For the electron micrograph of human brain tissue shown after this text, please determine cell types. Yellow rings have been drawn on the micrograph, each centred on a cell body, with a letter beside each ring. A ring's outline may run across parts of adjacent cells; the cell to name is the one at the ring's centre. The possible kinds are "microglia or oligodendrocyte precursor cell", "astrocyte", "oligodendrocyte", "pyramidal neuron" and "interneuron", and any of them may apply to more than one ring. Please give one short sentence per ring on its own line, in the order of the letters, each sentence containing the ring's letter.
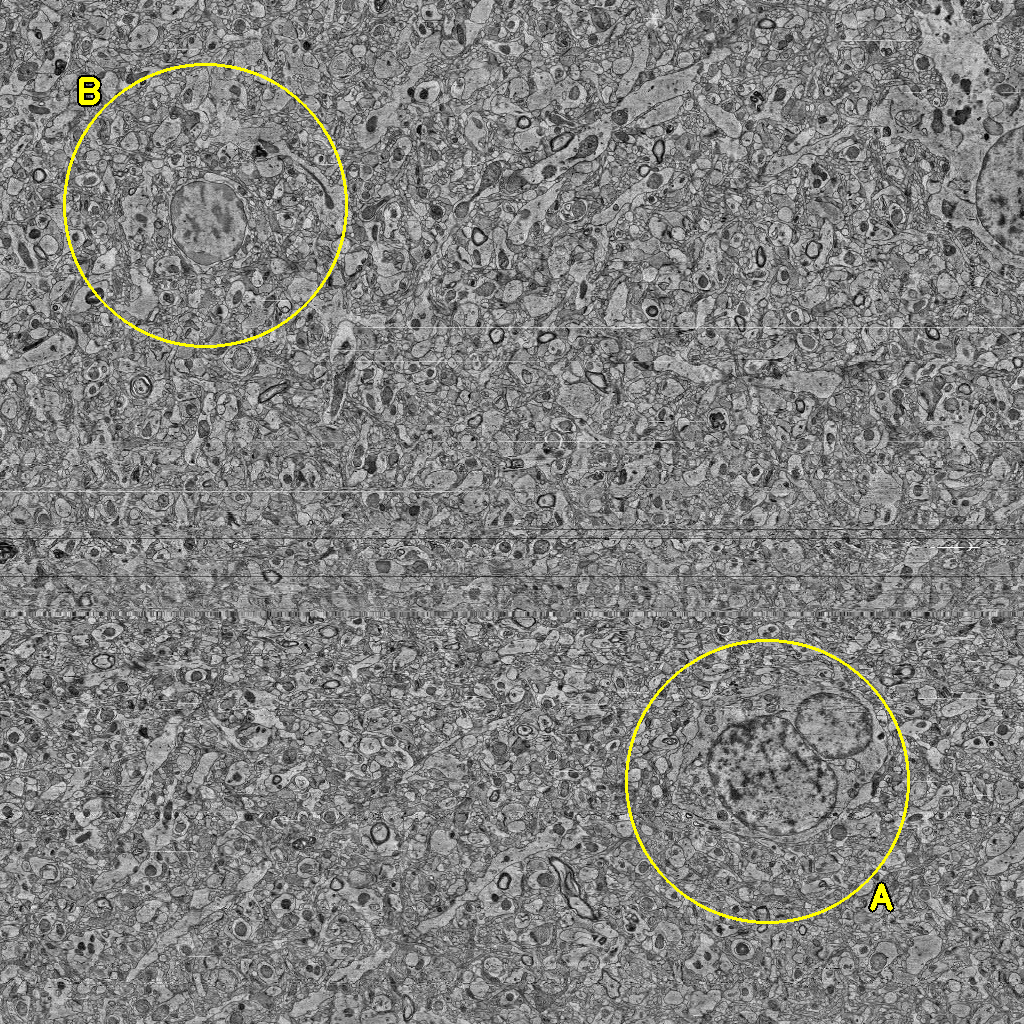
Ring A is set around an interneuron.
Ring B is set around a microglial cell or oligodendrocyte precursor cell.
